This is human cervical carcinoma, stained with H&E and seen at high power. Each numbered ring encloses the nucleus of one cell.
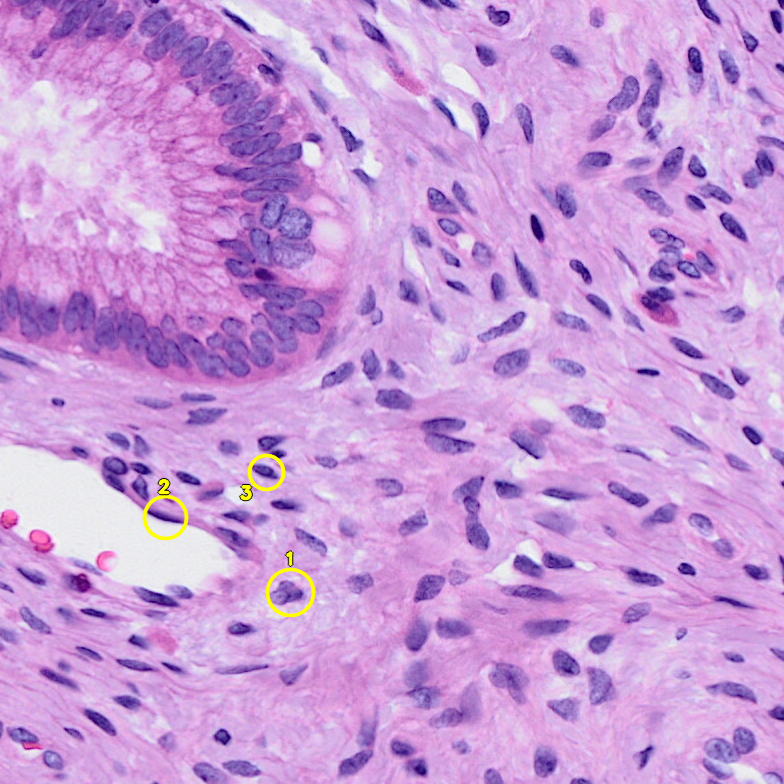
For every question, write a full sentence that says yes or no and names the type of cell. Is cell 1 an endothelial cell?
No, the cell marked 1 is a macrophage or monocyte rather than an endothelial cell.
